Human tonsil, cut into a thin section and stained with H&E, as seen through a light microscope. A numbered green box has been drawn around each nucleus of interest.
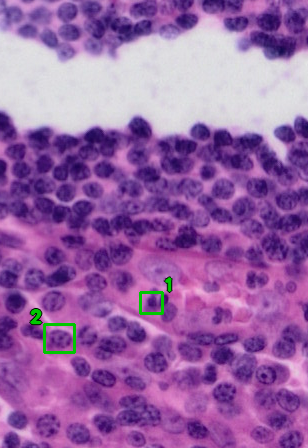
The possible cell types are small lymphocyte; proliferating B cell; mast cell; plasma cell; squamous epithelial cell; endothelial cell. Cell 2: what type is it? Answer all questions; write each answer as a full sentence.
Marked with the number 2, this cell is a plasma cell.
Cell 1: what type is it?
The marked cell with the number 1 is recognised as an endothelial cell.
